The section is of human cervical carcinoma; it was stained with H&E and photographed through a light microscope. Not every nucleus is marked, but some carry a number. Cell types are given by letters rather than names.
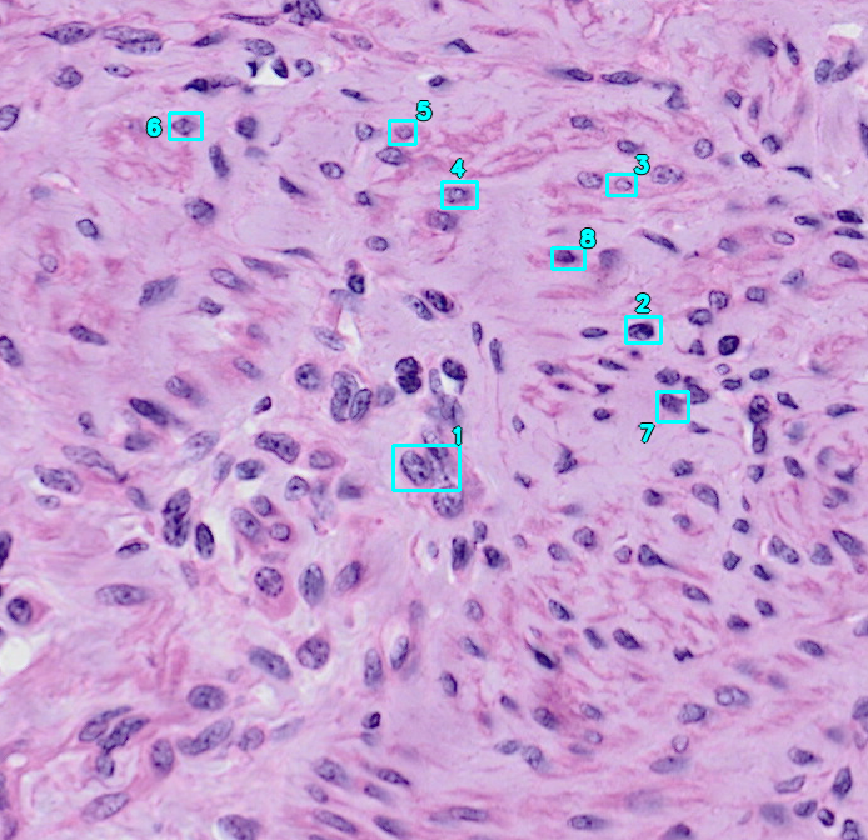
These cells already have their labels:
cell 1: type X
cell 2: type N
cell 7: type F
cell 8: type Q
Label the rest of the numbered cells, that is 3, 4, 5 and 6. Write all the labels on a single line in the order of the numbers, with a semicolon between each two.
type Q; type Q; type Q; type Q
